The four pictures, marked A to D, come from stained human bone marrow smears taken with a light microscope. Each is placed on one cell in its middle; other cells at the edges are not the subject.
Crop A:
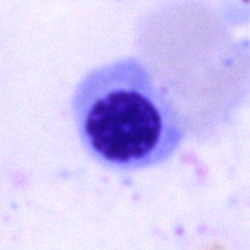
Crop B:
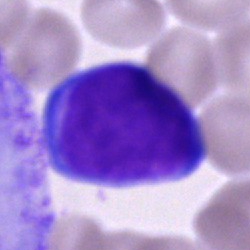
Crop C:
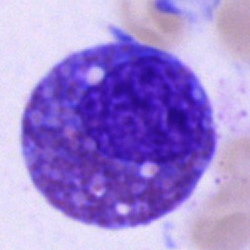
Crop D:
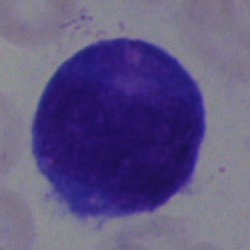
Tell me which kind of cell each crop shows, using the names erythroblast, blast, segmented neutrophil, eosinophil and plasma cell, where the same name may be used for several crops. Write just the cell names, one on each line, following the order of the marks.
erythroblast
blast
eosinophil
blast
